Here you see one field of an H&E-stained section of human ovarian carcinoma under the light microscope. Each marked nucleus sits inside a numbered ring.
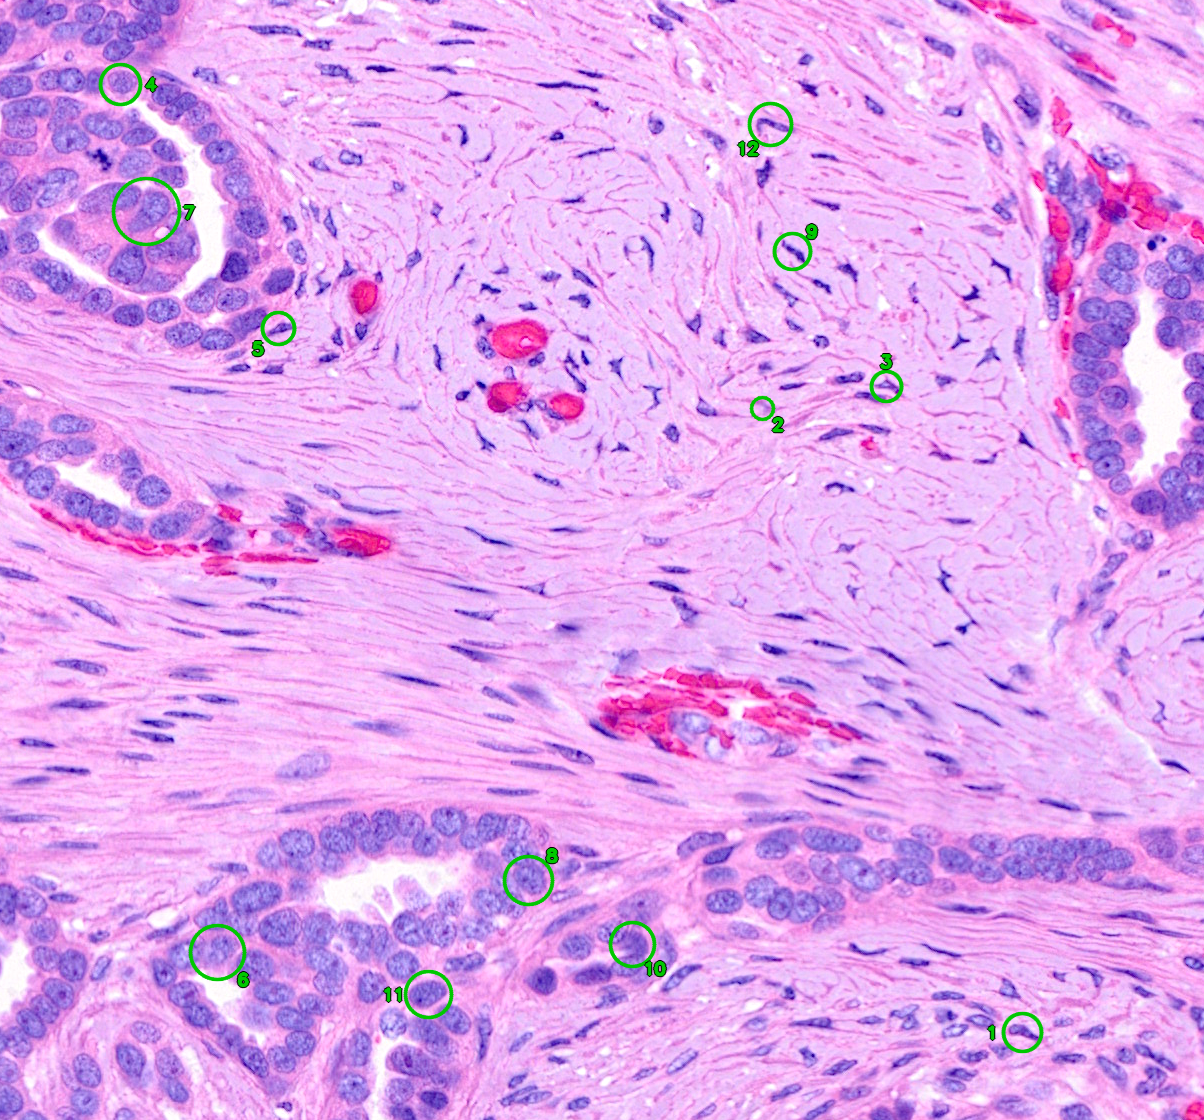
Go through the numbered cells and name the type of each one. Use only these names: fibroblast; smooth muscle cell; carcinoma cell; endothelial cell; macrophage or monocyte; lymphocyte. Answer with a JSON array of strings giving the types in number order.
["fibroblast", "fibroblast", "fibroblast", "carcinoma cell", "fibroblast", "carcinoma cell", "carcinoma cell", "carcinoma cell", "fibroblast", "carcinoma cell", "carcinoma cell", "fibroblast"]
